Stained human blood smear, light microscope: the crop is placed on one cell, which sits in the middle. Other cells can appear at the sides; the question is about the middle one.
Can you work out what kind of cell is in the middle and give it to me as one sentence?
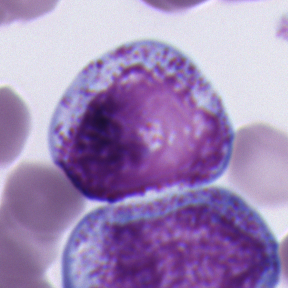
Positioned in the middle of the crop is a myelocyte.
